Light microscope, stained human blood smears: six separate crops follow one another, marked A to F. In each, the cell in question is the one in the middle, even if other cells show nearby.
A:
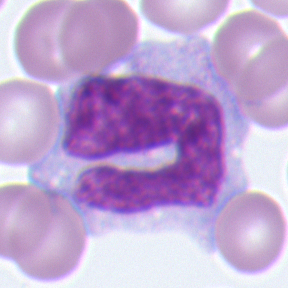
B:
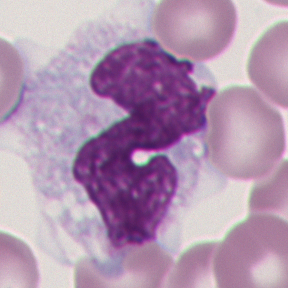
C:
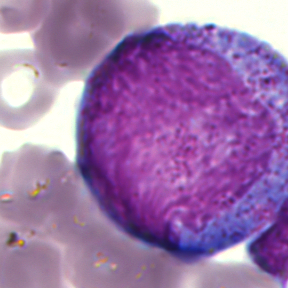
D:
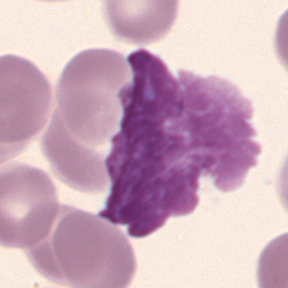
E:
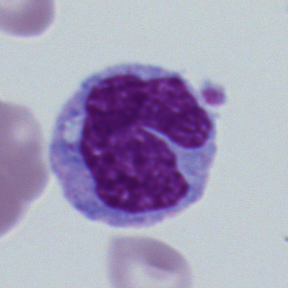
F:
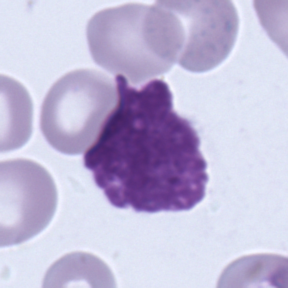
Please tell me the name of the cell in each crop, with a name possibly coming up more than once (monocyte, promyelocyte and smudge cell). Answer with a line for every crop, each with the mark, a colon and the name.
A: monocyte
B: monocyte
C: promyelocyte
D: smudge cell
E: monocyte
F: smudge cell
